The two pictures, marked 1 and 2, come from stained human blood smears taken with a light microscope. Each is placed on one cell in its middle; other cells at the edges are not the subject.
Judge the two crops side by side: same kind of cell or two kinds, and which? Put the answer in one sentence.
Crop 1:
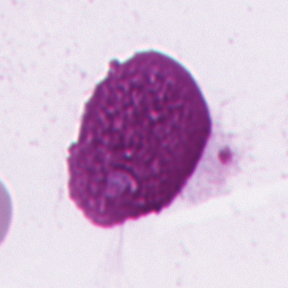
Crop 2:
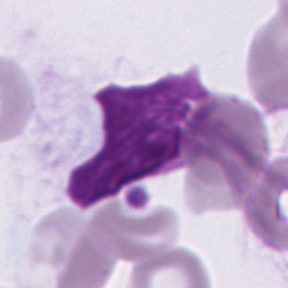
Yes, both the first crop and the second crop show smudge cells.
